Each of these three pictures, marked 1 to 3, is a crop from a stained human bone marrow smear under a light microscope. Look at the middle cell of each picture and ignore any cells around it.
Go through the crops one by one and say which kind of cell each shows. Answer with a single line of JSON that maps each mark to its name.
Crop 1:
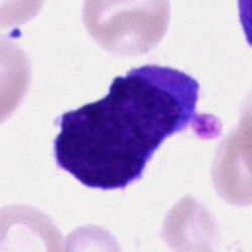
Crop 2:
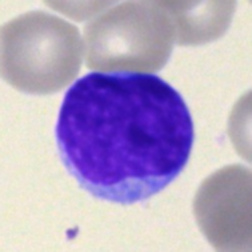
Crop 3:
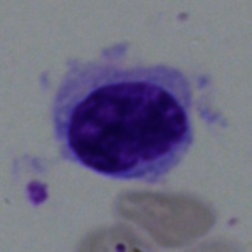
{"1": "blast", "2": "blast", "3": "hairy cell"}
